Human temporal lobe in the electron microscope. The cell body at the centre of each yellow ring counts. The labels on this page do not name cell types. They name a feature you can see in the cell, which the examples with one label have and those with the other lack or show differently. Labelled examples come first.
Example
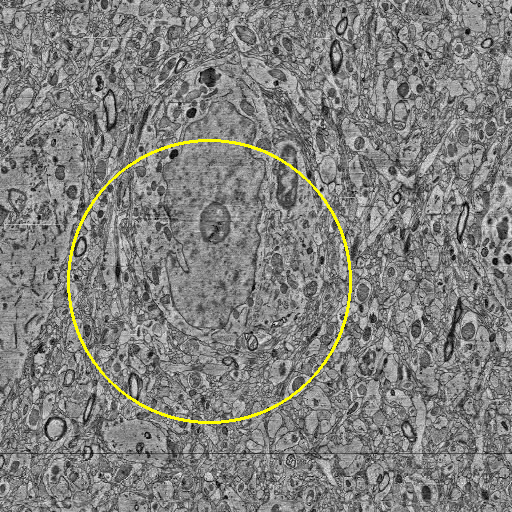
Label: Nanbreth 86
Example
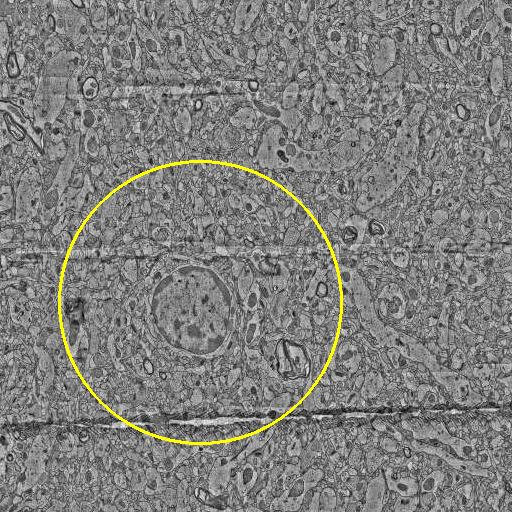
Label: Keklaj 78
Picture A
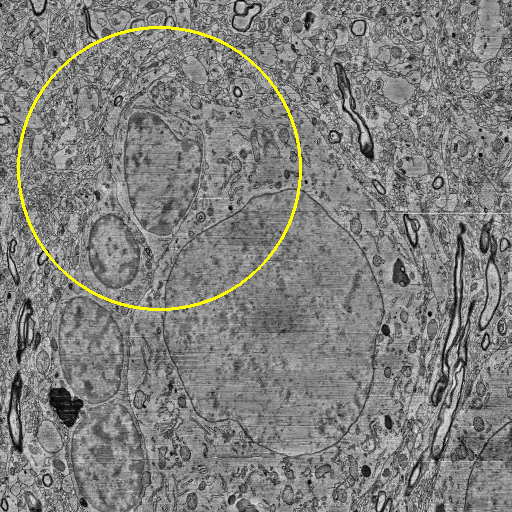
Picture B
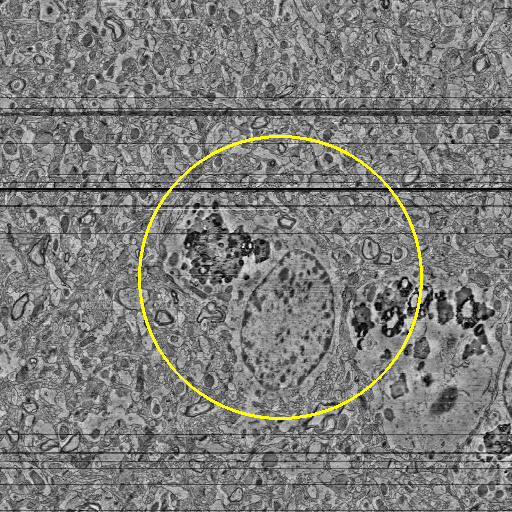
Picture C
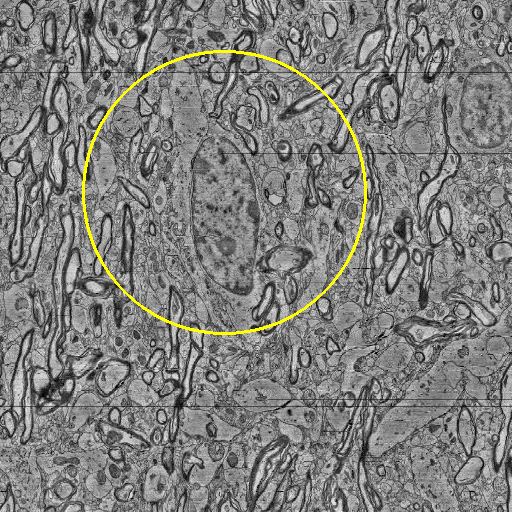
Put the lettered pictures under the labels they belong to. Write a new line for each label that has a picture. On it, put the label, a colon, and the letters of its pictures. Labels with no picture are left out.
Nanbreth 86: A, B, C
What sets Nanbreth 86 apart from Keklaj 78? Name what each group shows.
Seen in Nanbreth 86: clearly elongated nuclei; seen in Keklaj 78: round or nearly round nuclei.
